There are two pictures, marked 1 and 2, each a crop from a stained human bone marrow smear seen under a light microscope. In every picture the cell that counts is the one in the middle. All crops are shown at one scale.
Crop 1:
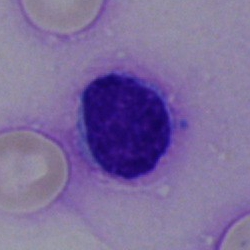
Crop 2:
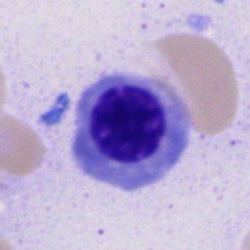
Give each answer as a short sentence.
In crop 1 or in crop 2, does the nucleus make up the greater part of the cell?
It is the cell in crop 1 that is filled more by its nucleus.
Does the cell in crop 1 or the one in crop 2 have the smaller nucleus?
The nucleus in crop 2 is smaller; the one in crop 1 has about 1.5 times its area.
